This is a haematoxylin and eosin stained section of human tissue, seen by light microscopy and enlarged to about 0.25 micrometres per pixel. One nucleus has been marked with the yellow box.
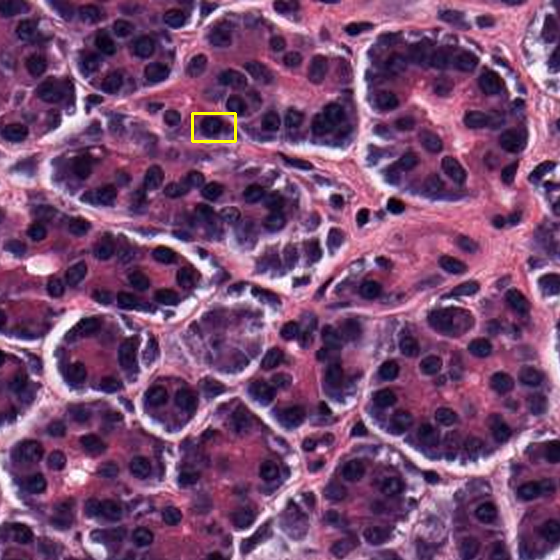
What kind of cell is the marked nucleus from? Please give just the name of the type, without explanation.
pancreatic acinar cell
